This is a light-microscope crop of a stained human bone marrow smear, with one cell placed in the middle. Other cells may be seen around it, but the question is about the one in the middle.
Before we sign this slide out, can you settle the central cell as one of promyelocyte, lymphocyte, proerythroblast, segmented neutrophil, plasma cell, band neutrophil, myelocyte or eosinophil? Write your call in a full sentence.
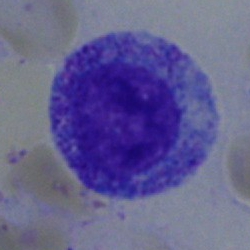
Occupying the centre of the crop is a myelocyte.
